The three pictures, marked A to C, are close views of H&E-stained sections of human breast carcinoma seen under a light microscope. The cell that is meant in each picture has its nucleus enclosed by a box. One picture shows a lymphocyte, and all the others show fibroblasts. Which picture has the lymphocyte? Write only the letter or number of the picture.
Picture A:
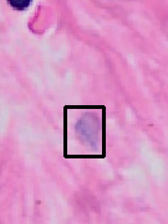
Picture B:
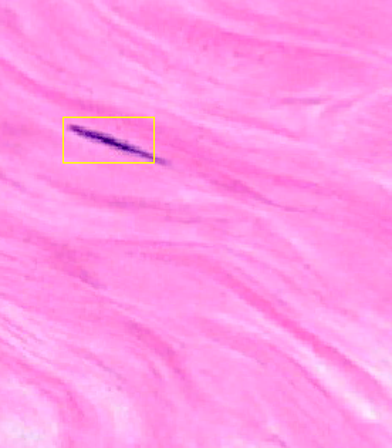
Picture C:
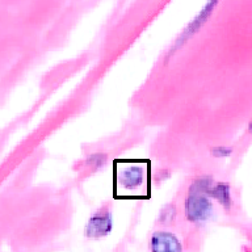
C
